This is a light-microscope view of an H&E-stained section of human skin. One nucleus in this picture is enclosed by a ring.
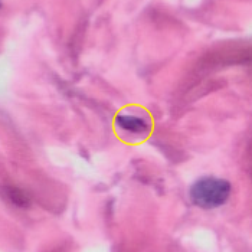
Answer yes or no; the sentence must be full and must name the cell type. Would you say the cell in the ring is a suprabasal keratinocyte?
No, it is not as a suprabasal keratinocyte but as a fibroblast that the cell in the ring is classed.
